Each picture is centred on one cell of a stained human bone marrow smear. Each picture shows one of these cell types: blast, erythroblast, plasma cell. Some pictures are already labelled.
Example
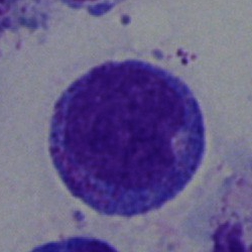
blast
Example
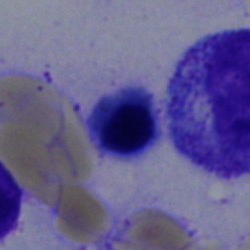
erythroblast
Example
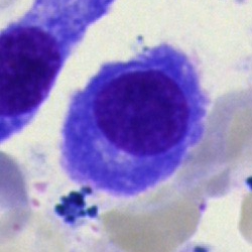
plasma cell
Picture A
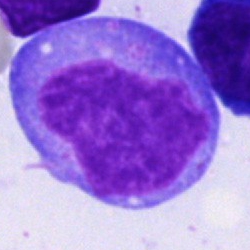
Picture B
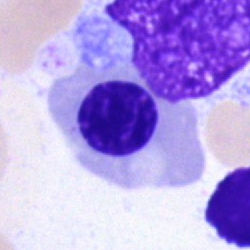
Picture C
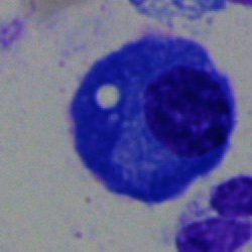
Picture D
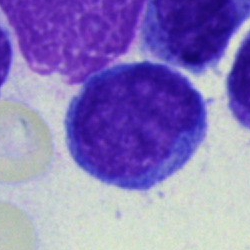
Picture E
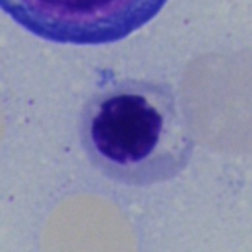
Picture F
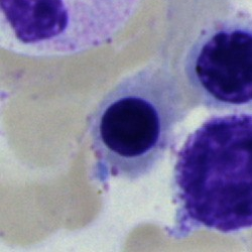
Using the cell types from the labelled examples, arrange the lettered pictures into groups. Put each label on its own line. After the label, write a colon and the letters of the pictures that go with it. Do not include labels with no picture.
blast: A, D
erythroblast: B, E, F
plasma cell: C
